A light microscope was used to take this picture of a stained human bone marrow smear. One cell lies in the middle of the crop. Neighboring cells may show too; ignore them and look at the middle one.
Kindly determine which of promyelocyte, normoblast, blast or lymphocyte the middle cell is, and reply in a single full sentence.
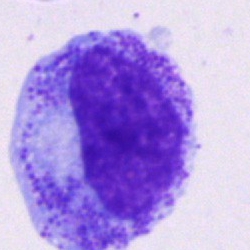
What sits at the centre of this crop is a promyelocyte.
